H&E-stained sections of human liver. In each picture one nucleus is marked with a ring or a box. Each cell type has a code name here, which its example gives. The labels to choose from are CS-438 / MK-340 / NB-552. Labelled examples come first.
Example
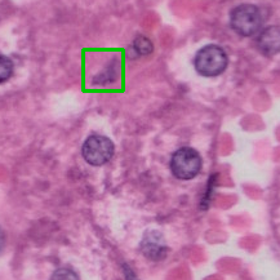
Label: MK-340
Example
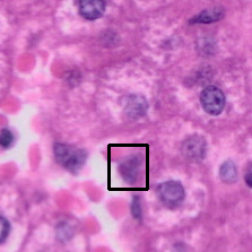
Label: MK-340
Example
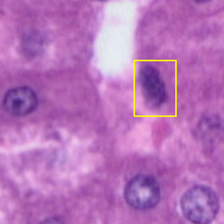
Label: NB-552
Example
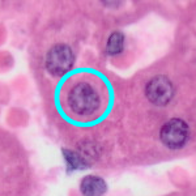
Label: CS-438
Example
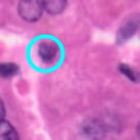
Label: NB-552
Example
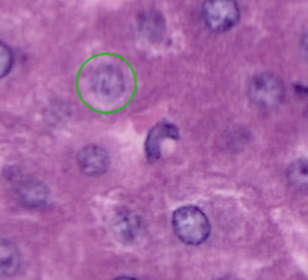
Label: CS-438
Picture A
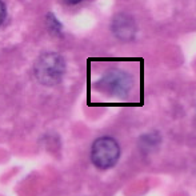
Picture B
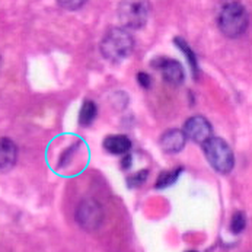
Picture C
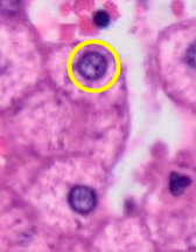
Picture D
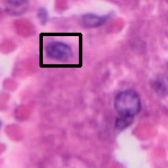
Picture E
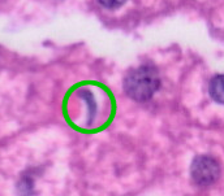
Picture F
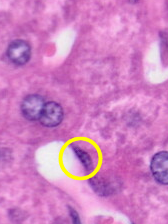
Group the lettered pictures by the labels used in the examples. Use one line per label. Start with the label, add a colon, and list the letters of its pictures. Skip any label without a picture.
CS-438: C
MK-340: A, E
NB-552: B, D, F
